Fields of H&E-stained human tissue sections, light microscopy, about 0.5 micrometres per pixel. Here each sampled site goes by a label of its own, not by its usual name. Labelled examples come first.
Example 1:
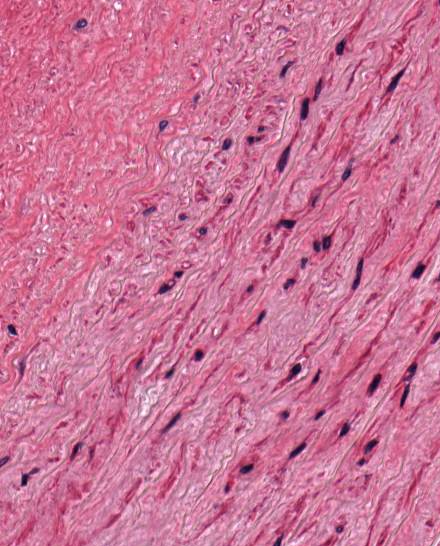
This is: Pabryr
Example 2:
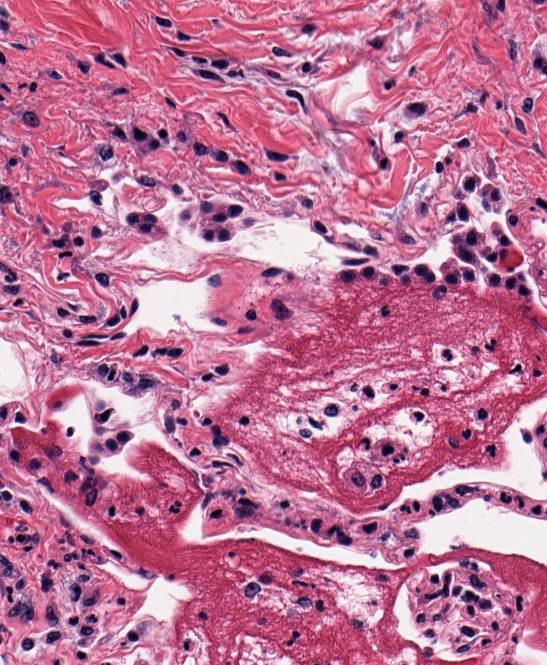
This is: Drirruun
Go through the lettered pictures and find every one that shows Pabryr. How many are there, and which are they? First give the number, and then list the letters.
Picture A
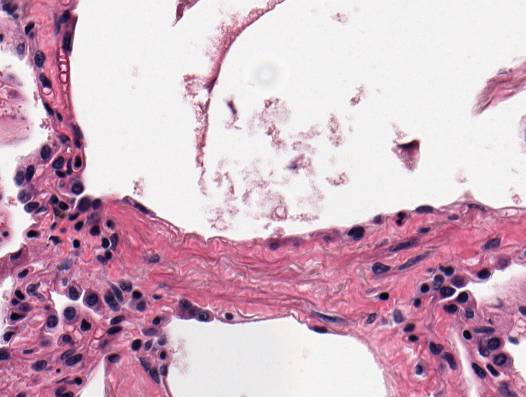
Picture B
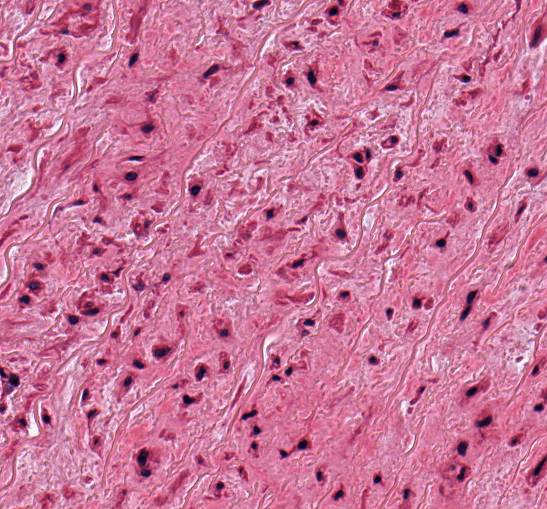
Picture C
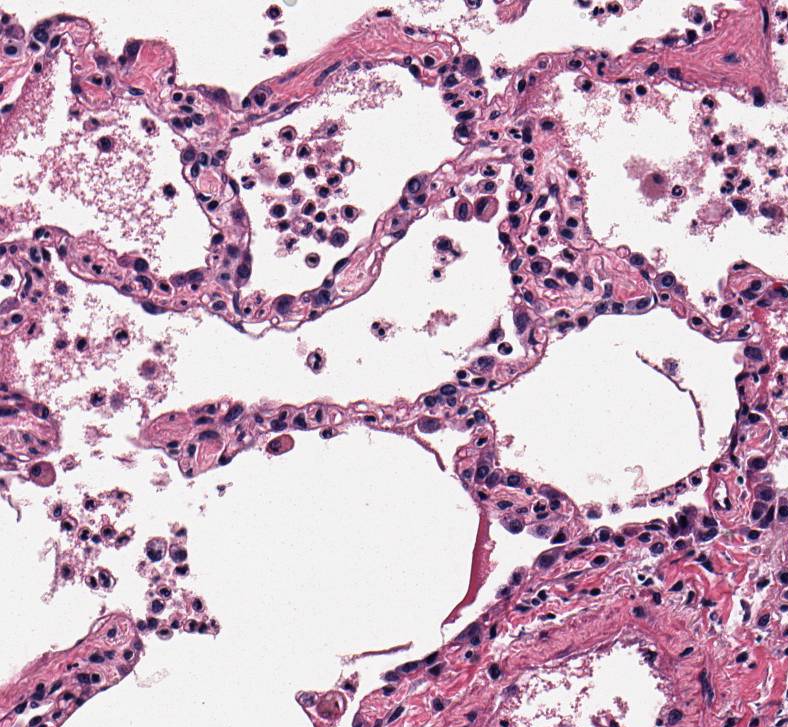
1: B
